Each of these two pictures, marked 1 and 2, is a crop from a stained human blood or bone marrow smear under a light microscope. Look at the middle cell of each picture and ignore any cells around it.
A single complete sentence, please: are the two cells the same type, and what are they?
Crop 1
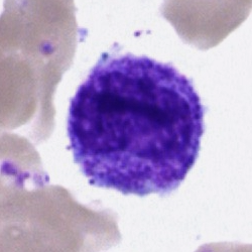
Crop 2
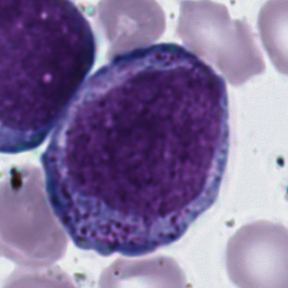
No, the cell that crop 1 shows is a myelocyte, and the one crop 2 shows is a promyelocyte.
